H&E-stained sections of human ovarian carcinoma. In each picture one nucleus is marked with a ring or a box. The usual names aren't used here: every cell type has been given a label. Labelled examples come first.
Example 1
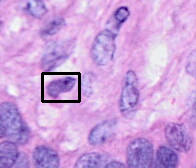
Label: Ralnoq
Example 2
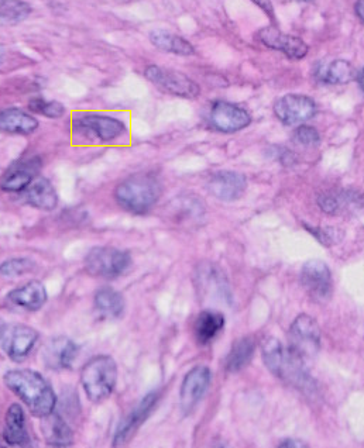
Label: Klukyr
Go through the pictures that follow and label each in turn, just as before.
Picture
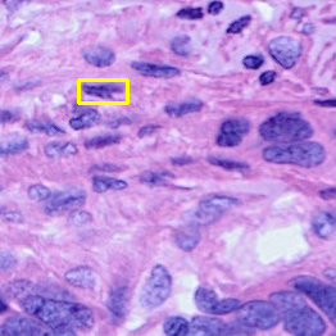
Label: Klukyr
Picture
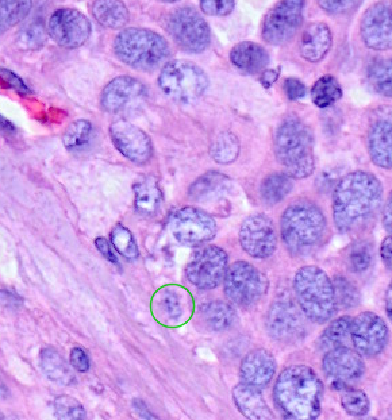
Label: Ralnoq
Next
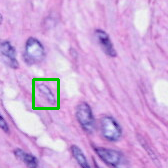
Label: Klukyr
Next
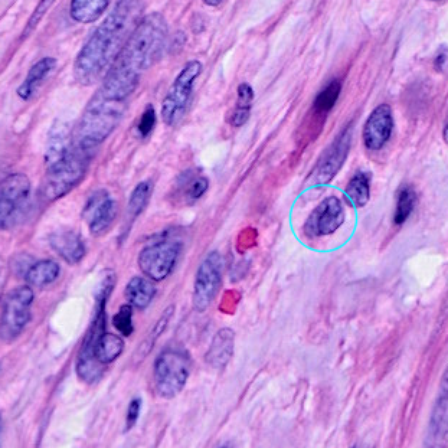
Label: Ralnoq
